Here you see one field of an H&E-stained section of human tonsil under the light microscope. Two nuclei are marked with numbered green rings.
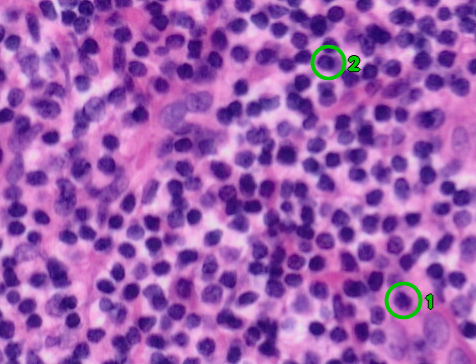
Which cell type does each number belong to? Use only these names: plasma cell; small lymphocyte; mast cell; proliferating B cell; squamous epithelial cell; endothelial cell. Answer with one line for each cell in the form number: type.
1: endothelial cell
2: small lymphocyte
